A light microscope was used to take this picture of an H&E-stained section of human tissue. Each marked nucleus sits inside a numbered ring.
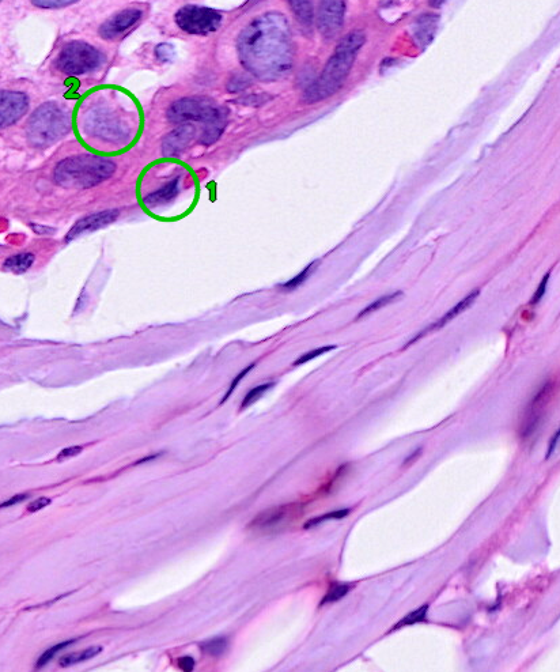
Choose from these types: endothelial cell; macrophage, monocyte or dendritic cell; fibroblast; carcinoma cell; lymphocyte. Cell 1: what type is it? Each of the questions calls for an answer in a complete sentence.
In this section, number 1 marks an endothelial cell.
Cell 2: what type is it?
The cell identified by number 2 is a carcinoma cell.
